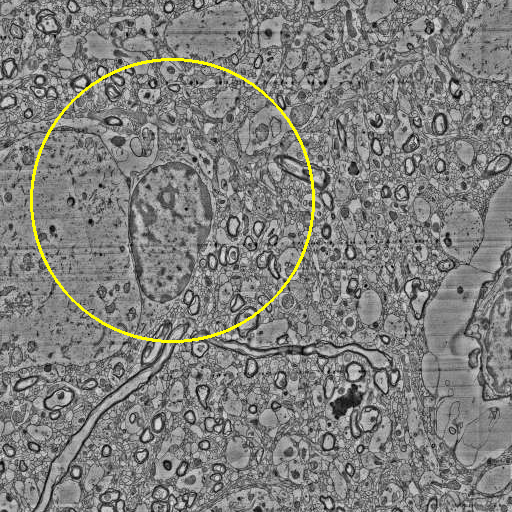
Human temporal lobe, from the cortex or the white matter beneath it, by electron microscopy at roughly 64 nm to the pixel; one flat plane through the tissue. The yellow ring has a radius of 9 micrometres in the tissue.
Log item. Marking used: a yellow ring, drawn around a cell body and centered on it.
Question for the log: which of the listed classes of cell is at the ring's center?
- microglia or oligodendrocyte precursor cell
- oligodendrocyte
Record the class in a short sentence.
At the center of the ring lies a microglial cell or oligodendrocyte precursor cell.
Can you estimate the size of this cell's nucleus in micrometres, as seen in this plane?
In this plane the nucleus measures about 9 by 5 micrometres and is clearly longer than it is wide.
